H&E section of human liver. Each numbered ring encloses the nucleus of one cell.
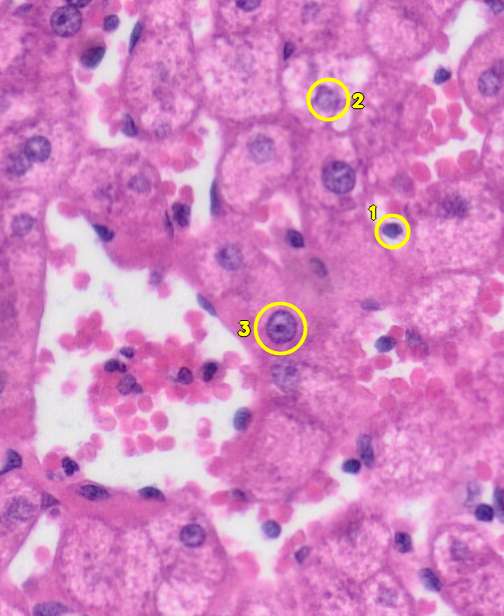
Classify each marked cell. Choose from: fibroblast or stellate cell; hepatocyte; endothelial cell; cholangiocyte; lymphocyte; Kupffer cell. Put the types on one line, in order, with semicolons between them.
lymphocyte; hepatocyte; hepatocyte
